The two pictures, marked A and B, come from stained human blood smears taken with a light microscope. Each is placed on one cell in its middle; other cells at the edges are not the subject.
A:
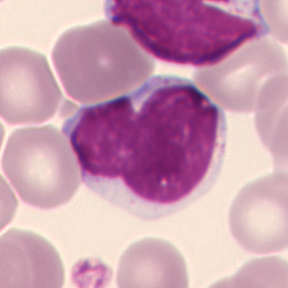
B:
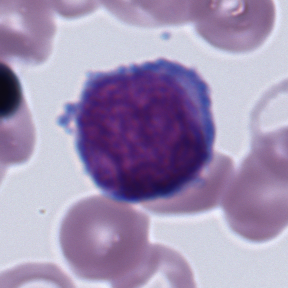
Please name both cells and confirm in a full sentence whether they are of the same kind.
No, the labels go like this: crop A is a large granular lymphocyte and crop B is a myeloblast.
